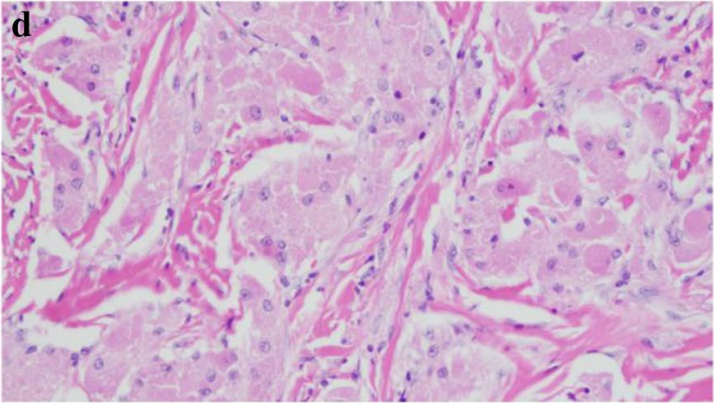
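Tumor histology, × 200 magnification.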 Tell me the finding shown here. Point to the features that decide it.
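Cells have abundant pink cytoplasm. The cytoplasm looks coarsely granular. Nuclei are small, round and sit within the cells.
Answer: eosinophilic cytoplasm with coarse granules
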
